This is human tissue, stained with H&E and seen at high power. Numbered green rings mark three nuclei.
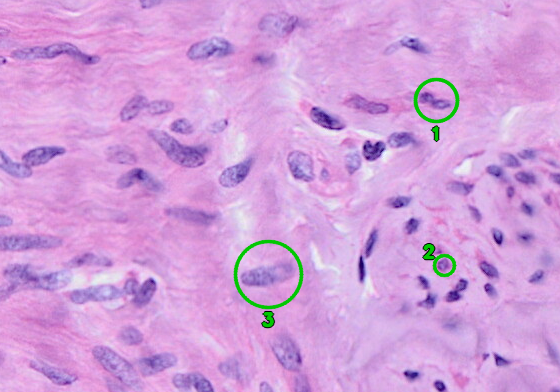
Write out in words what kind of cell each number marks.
Cells 1 and 2 are smooth muscle cells. Cell 3 is a fibroblast.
